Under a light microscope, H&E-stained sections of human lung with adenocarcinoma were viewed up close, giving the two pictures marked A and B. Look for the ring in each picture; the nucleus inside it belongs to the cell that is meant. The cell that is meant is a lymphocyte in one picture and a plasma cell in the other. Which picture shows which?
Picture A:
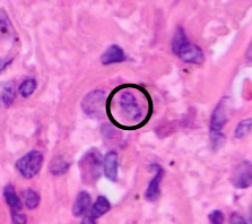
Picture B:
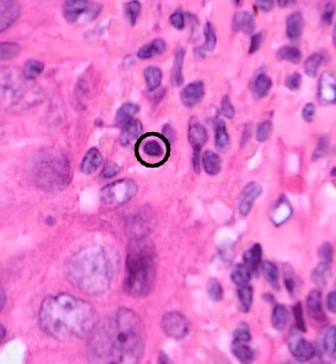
A: plasma cell
B: lymphocyte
